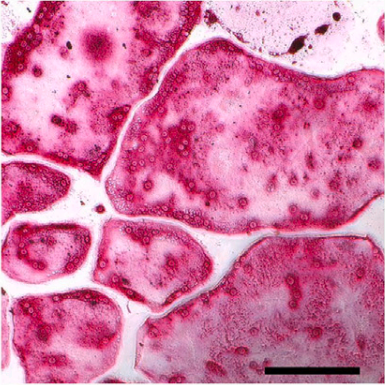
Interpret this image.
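Giant multinucleated cells fill most of this culture, each a broad, flat sheet with an irregular polygonal outline. Their cytoplasm is stained red to magenta, darker in patches and at the borders, with many small round bodies dotting the surface. Narrow unstained gaps separate neighbouring giant cells.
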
